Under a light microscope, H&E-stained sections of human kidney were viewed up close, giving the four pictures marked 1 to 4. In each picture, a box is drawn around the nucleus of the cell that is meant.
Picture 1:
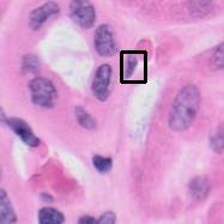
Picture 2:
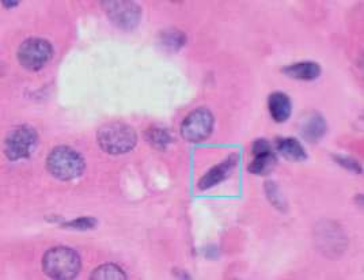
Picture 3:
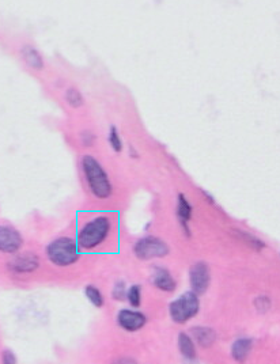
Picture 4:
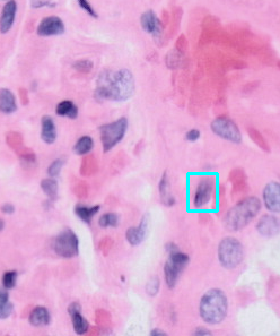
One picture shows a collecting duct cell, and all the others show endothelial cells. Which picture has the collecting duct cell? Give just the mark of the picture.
3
